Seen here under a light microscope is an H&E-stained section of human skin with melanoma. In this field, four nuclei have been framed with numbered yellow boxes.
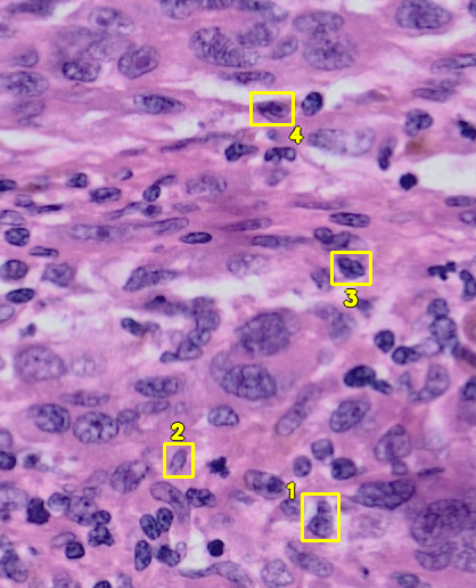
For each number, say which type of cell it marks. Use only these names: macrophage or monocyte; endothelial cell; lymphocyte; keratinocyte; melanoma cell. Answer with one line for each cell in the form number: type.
1: melanoma cell
2: macrophage or monocyte
3: lymphocyte
4: macrophage or monocyte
